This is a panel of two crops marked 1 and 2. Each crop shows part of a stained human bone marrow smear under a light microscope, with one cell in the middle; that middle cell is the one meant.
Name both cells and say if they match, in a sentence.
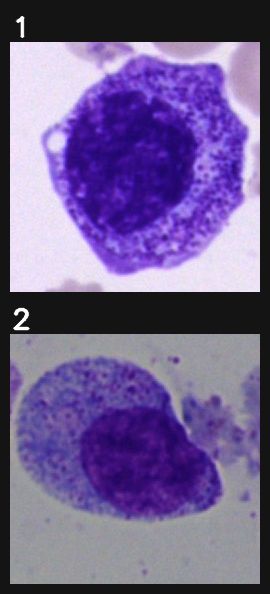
Yes, shown in both crops are promyelocytes.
